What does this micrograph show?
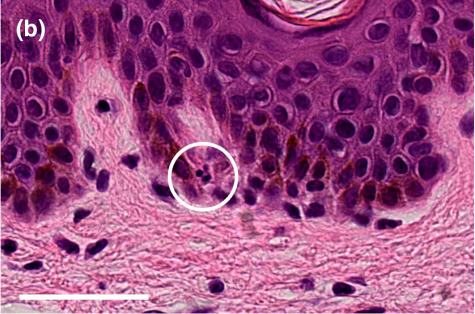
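Here is the lower epidermis at high power, with a downward ridge of keratinocytes resting on the pale pink dermis below. The keratinocytes have large round to oval purple nuclei and pink cytoplasm, and many basal cells carry brown granular pigment. Inside the white circle, near the base of the epidermis, is a much smaller cell whose nucleus is broken into several dark lobes, quite unlike the round keratinocyte nuclei around it. This small lobed-nucleus cell sits within the epithelium itself, not in the dermis beneath.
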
